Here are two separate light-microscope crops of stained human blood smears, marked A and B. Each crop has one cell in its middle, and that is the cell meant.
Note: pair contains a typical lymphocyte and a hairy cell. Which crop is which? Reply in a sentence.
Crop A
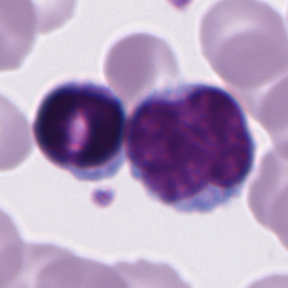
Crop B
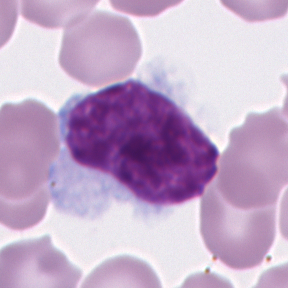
Crop A is to be labelled a typical lymphocyte, and crop B a hairy cell.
